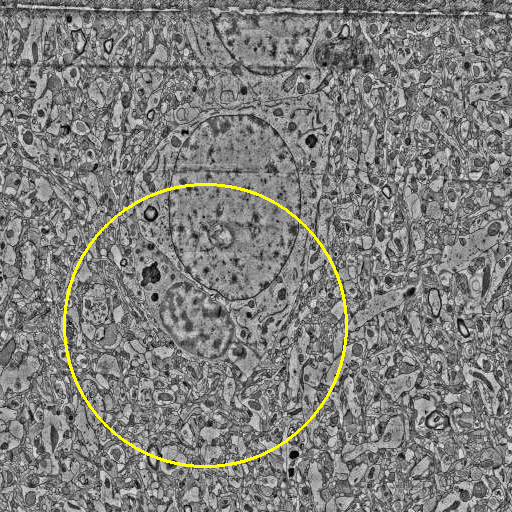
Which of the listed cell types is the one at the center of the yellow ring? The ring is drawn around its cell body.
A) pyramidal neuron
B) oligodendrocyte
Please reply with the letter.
B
